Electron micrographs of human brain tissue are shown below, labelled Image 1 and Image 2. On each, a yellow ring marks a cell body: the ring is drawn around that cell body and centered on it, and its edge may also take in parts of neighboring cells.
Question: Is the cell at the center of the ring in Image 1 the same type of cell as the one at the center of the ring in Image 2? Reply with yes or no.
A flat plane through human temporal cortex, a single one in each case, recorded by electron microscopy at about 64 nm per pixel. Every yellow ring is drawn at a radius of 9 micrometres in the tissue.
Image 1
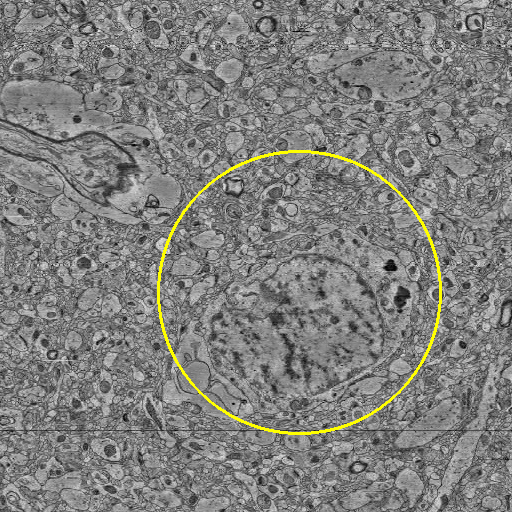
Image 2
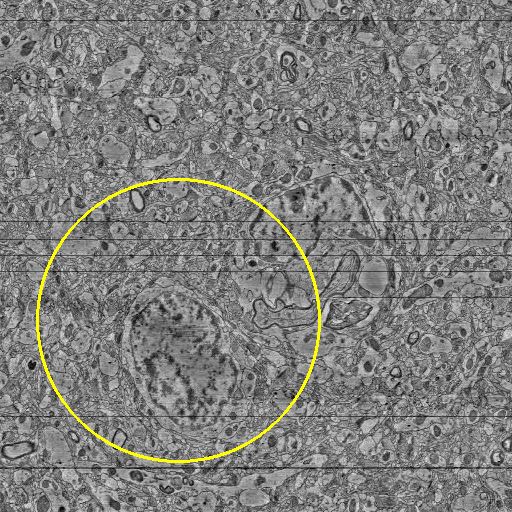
yes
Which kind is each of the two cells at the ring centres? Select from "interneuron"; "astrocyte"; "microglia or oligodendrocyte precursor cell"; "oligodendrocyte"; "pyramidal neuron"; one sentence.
In both pictures the ring is centred on an interneuron.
